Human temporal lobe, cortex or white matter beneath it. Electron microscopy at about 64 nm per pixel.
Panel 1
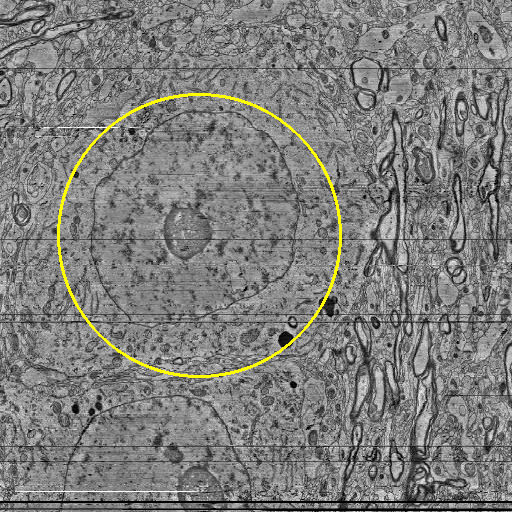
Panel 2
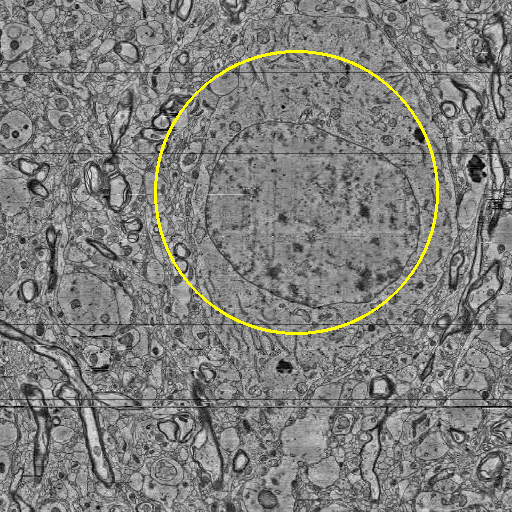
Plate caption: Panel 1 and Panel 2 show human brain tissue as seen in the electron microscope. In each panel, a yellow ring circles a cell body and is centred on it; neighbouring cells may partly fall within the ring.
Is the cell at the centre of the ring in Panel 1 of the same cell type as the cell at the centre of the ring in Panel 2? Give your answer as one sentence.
Yes, the two cells are of the same type.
